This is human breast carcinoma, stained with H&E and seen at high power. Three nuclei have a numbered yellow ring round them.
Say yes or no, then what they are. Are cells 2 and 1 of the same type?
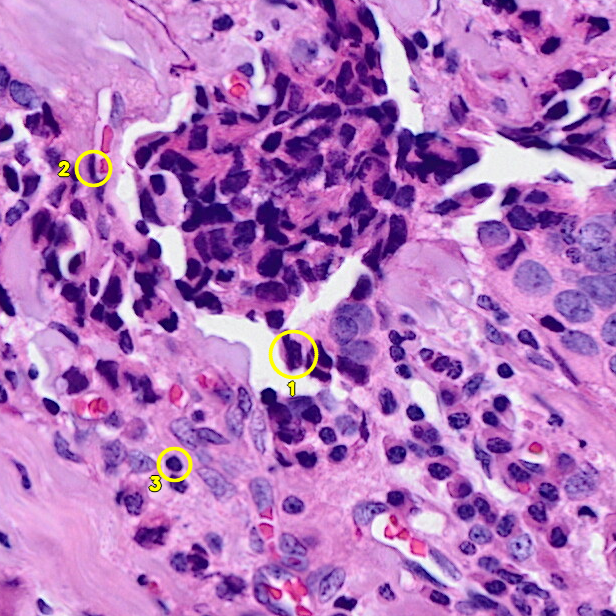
No, cell 2 is to be identified as an endothelial cell and cell 1 as a carcinoma cell.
